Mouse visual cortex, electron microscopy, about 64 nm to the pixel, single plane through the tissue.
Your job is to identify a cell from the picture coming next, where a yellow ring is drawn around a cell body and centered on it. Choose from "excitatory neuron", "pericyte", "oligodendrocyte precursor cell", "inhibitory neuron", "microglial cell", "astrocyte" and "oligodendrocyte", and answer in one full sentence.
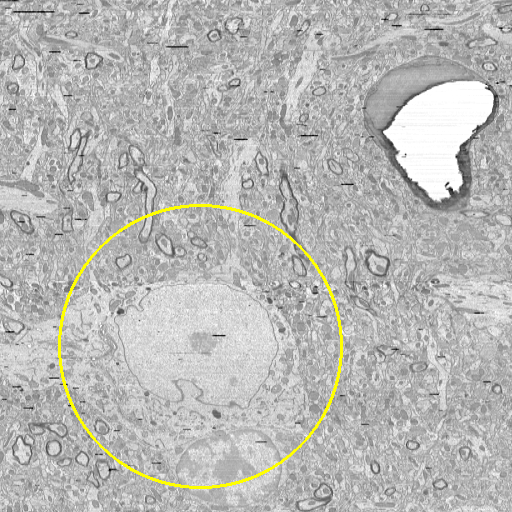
Centered in the yellow ring of the picture is the body of an excitatory neuron.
